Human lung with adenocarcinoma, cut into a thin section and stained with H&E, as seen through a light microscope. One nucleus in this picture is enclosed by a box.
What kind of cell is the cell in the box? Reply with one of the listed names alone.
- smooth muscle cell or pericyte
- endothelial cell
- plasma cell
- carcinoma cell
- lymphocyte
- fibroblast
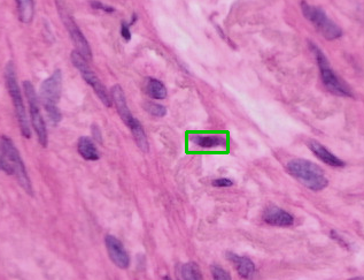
smooth muscle cell or pericyte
